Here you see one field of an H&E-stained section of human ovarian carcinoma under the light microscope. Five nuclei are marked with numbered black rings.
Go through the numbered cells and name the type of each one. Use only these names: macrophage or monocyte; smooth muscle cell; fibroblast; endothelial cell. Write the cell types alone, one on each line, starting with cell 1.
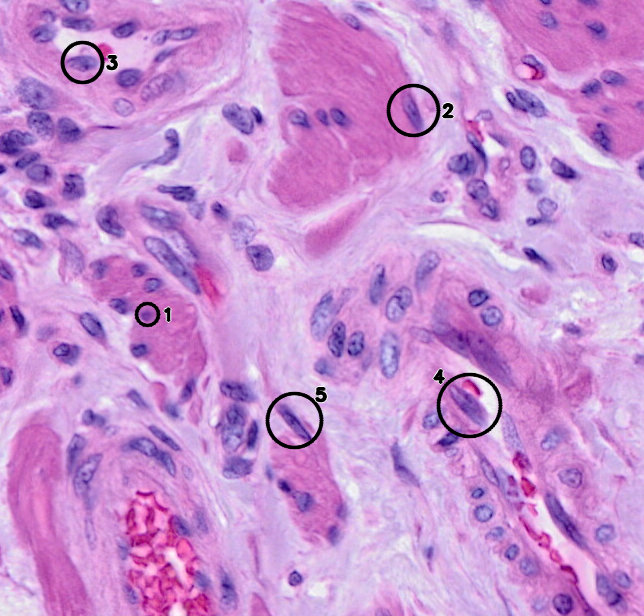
smooth muscle cell
smooth muscle cell
endothelial cell
endothelial cell
smooth muscle cell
